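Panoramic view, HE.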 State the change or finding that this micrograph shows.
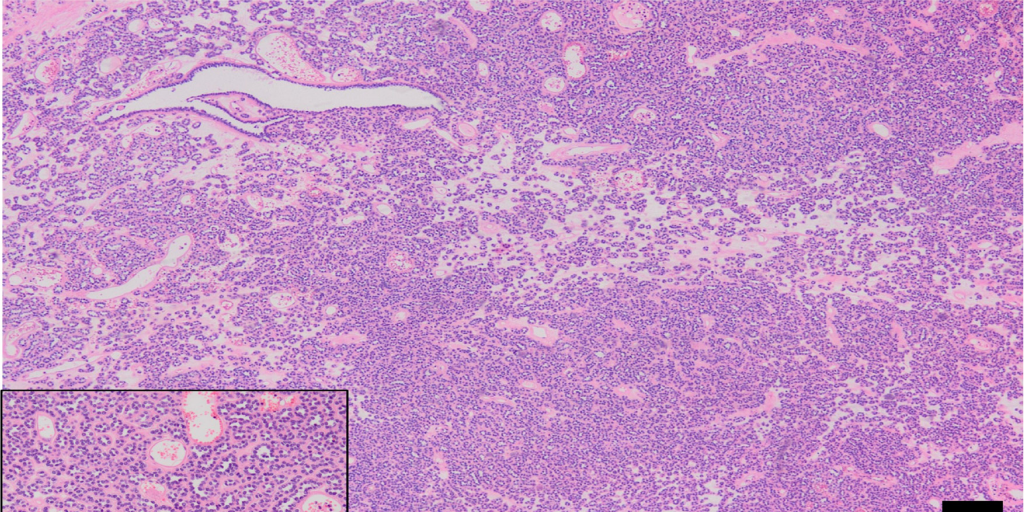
Monomorphic epithelial proliferation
